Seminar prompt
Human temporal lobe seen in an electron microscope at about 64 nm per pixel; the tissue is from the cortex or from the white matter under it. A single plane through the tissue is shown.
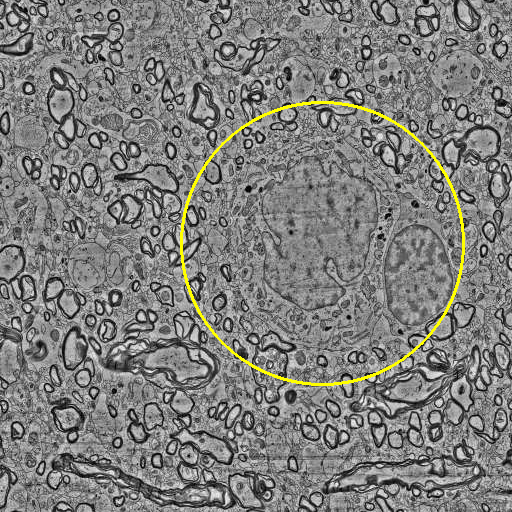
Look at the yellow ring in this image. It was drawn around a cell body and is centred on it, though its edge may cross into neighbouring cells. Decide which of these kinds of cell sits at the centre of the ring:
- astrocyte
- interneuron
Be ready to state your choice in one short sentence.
The kind of cell at the ring's centre is an interneuron.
